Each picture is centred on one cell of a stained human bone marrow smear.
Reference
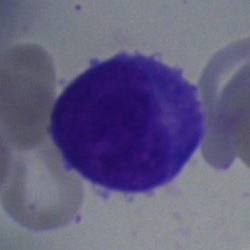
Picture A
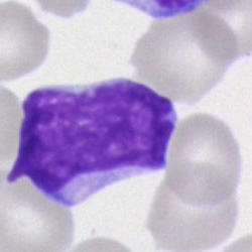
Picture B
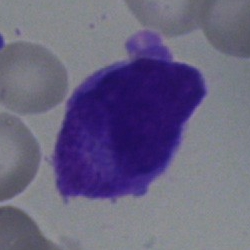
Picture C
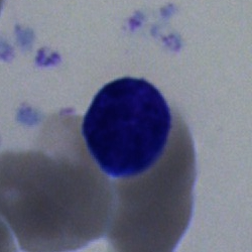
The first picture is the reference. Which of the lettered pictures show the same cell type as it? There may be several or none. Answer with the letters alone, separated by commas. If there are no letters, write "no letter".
A, B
